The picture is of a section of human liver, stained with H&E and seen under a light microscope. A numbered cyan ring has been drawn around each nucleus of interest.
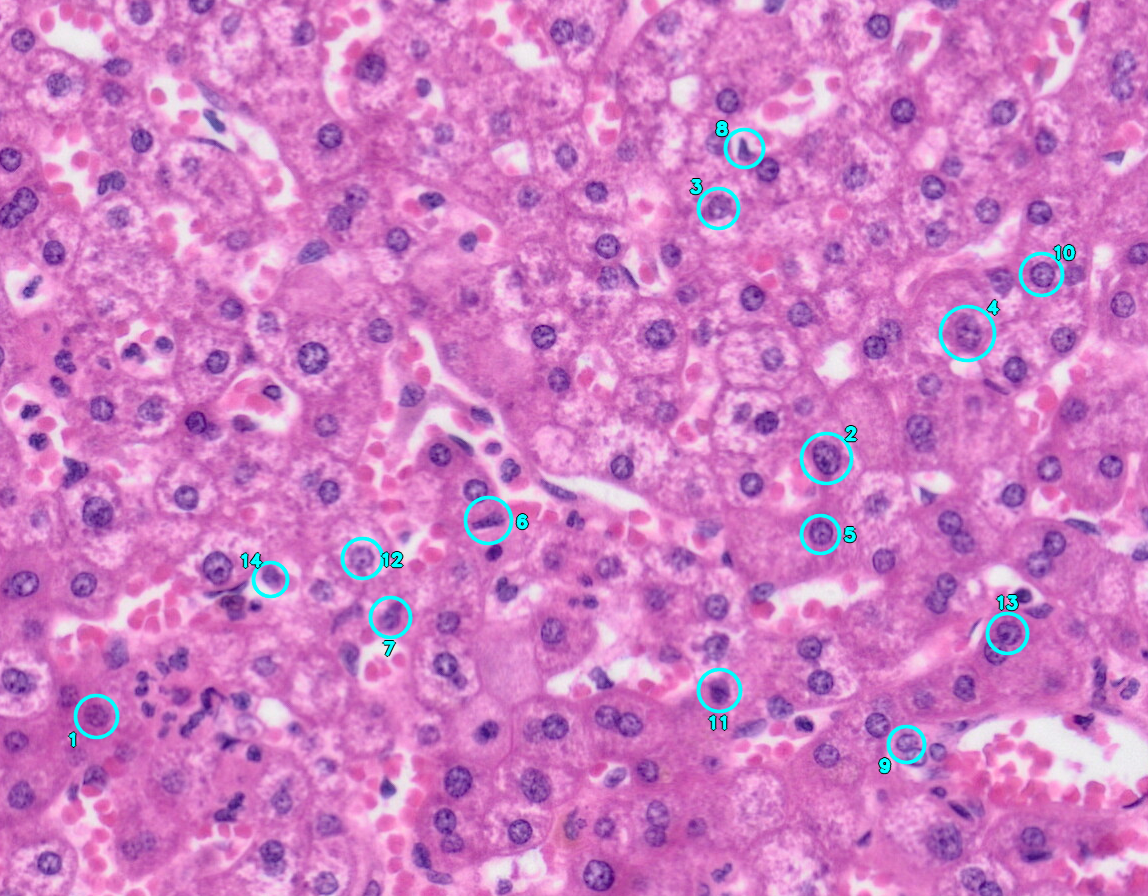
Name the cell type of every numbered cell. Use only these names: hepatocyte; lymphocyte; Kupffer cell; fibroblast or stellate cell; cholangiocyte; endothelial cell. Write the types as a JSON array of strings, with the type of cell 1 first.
["hepatocyte", "hepatocyte", "hepatocyte", "hepatocyte", "hepatocyte", "fibroblast or stellate cell", "fibroblast or stellate cell", "endothelial cell", "cholangiocyte", "hepatocyte", "fibroblast or stellate cell", "hepatocyte", "hepatocyte", "Kupffer cell"]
